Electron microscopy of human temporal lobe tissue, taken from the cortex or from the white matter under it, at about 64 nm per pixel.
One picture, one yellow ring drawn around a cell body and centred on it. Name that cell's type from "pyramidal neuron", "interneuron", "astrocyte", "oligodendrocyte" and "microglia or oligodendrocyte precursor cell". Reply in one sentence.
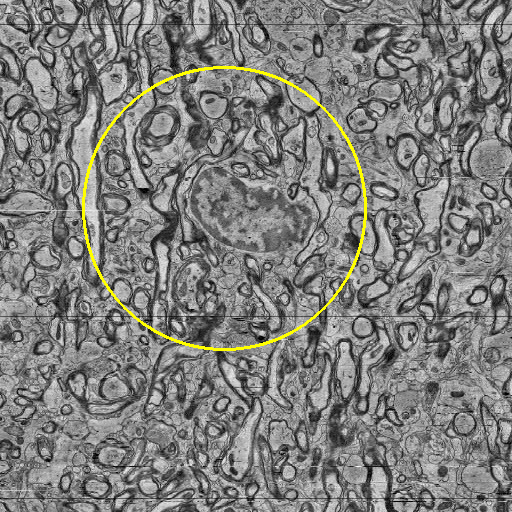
Centred in the ring is a microglial cell or oligodendrocyte precursor cell.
